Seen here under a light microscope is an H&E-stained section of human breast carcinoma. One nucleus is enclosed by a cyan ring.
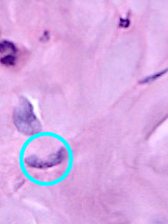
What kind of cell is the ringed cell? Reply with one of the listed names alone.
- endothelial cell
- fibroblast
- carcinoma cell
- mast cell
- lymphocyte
fibroblast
